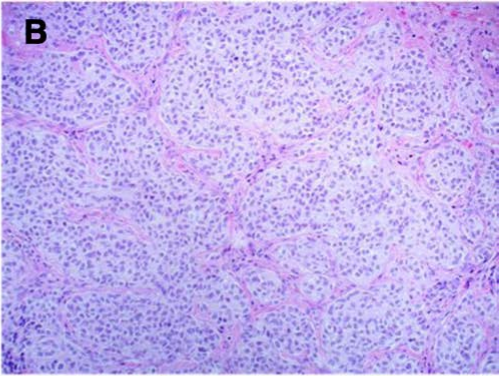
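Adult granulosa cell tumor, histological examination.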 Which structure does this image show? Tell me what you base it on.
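Rounded groups of tumor cells fill the field. Thin pink bands of fibrous tissue run between and around the groups.
Nests surrounded by fibrous septa.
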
